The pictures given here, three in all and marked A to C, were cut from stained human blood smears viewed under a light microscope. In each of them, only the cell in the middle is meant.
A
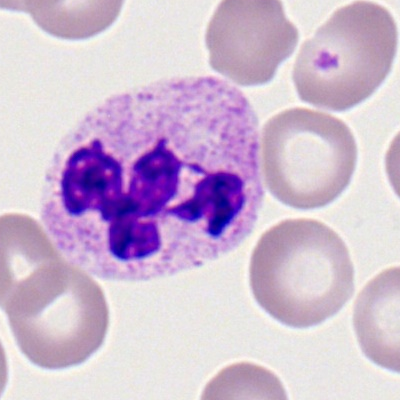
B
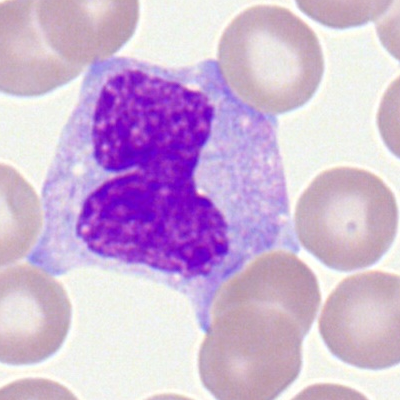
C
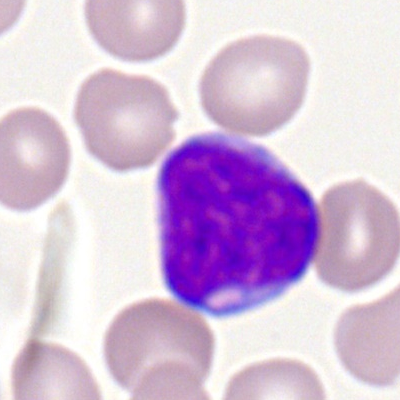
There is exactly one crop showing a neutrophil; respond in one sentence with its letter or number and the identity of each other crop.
In crop A, the cell at the centre is a neutrophil, while crop B is a monocyte and crop C is a blast.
